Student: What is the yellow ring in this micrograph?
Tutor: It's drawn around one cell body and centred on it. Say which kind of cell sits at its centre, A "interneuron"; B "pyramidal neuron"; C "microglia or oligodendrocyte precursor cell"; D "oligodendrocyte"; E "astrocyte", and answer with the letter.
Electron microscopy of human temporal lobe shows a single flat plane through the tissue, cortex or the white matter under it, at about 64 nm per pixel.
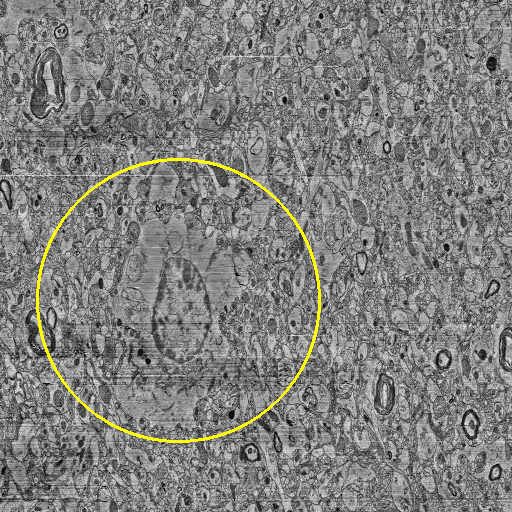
E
